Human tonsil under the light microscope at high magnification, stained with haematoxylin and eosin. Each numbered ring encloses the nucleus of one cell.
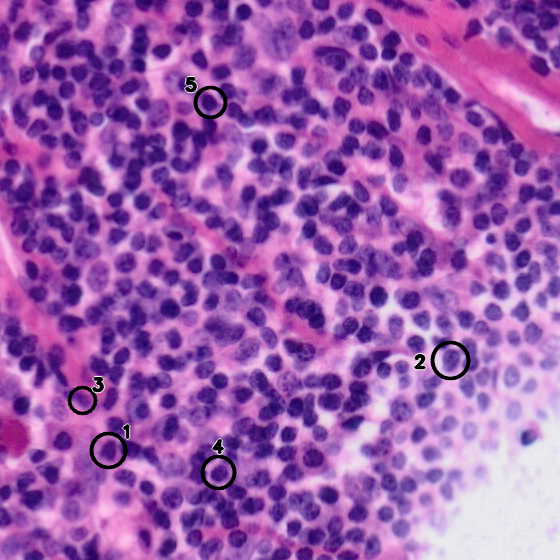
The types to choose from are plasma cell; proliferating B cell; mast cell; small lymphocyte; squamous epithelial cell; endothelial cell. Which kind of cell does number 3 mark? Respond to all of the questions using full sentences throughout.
The cell assigned the number 3 is an endothelial cell.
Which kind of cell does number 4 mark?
That cell with number 4 is a small lymphocyte.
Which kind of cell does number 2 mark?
Corresponding to a small lymphocyte is the cell labelled 2.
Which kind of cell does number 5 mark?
Among the marked cells, number 5 is a small lymphocyte.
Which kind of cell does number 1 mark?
Cell 1 in the field of view is an endothelial cell.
